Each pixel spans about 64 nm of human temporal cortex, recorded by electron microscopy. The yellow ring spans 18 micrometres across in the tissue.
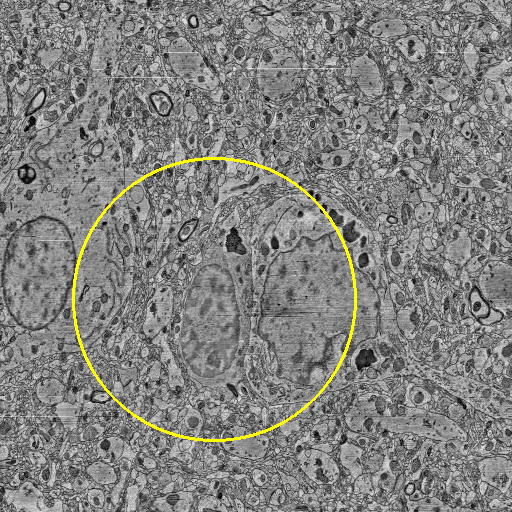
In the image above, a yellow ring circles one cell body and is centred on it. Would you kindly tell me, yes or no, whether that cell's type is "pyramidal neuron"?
no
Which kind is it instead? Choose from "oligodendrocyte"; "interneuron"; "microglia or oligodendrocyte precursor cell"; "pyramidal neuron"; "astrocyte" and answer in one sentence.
That cell in the ring is an oligodendrocyte instead.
